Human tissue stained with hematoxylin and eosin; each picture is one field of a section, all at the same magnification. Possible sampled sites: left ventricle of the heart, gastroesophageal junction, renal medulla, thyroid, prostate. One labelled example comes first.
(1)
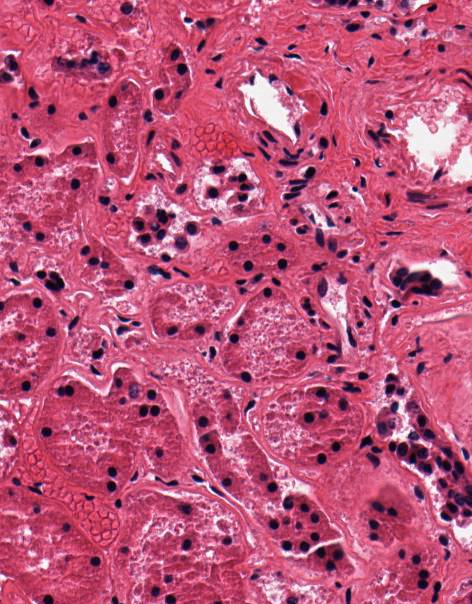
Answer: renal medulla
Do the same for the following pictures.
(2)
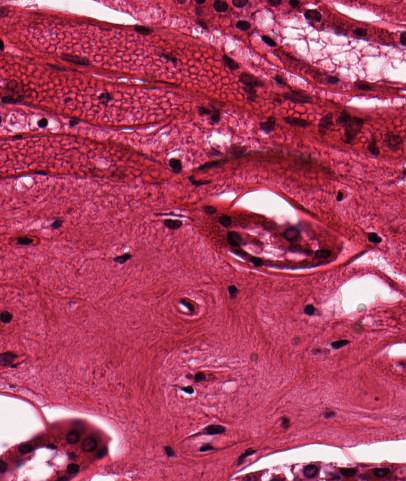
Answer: renal medulla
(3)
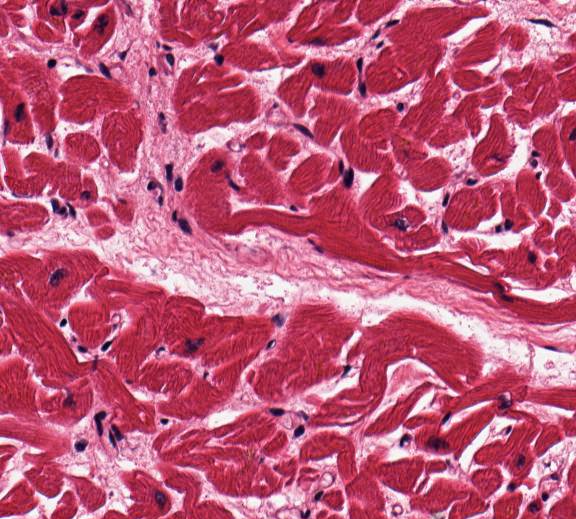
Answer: left ventricle of the heart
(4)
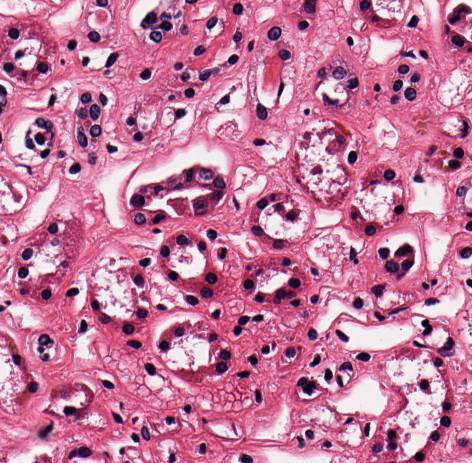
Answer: renal medulla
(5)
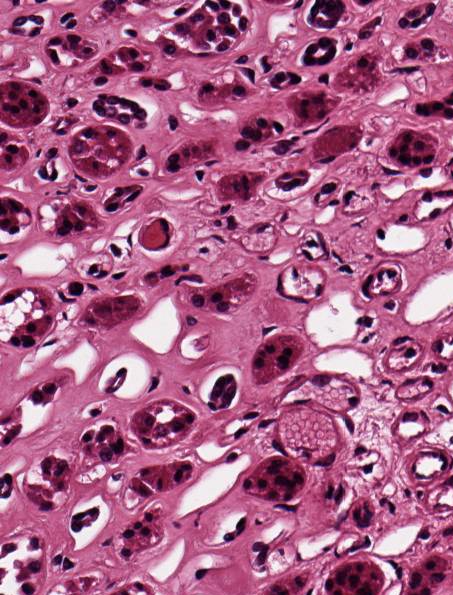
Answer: renal medulla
